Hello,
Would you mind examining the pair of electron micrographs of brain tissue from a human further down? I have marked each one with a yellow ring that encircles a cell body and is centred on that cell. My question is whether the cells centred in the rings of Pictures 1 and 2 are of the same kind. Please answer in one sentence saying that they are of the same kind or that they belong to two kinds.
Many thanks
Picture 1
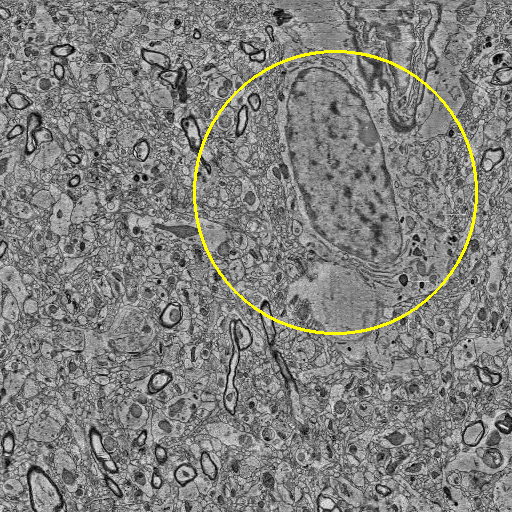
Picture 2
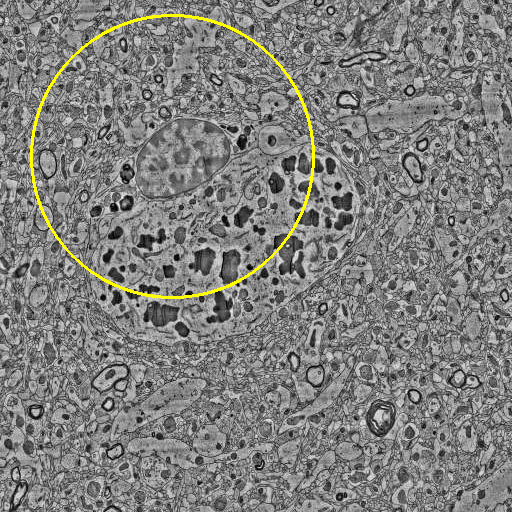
In Pictures 1 and 2, the cells at the heart of the rings are of the same kind.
